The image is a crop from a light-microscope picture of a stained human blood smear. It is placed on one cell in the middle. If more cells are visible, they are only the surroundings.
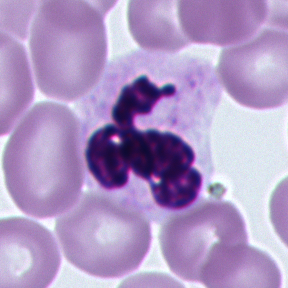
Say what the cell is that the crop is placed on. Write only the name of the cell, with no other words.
segmented neutrophil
